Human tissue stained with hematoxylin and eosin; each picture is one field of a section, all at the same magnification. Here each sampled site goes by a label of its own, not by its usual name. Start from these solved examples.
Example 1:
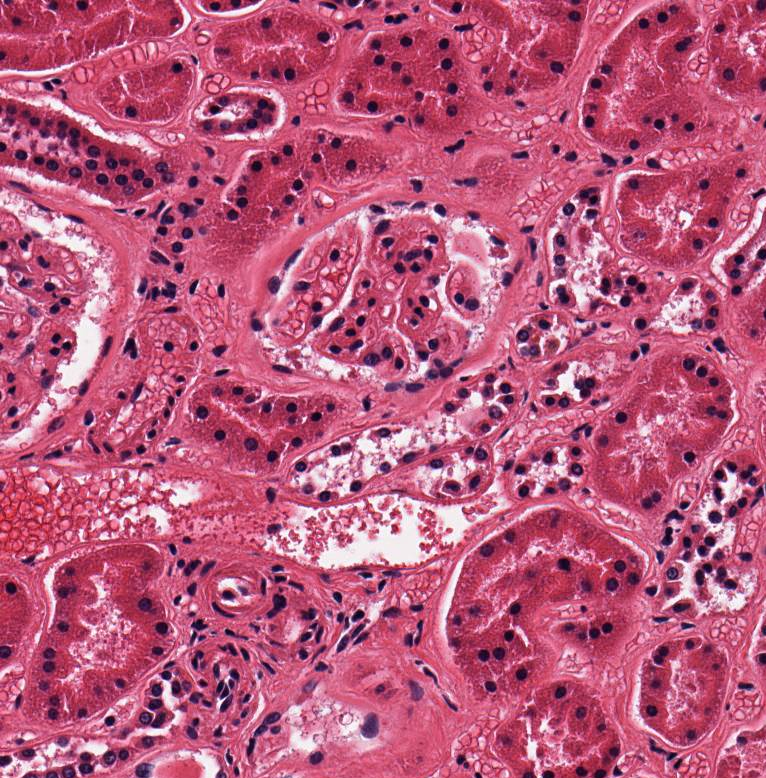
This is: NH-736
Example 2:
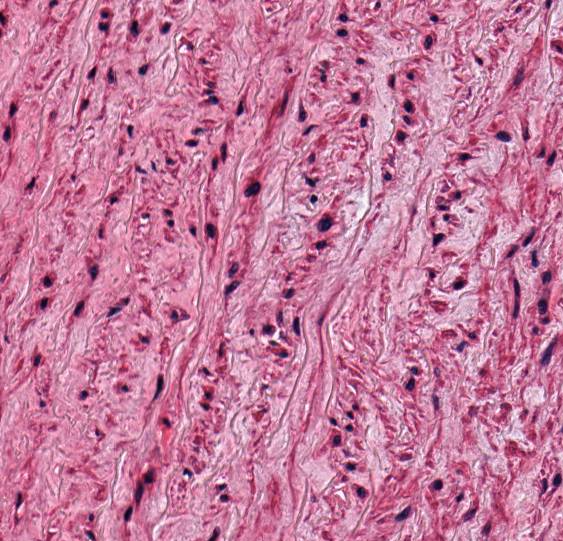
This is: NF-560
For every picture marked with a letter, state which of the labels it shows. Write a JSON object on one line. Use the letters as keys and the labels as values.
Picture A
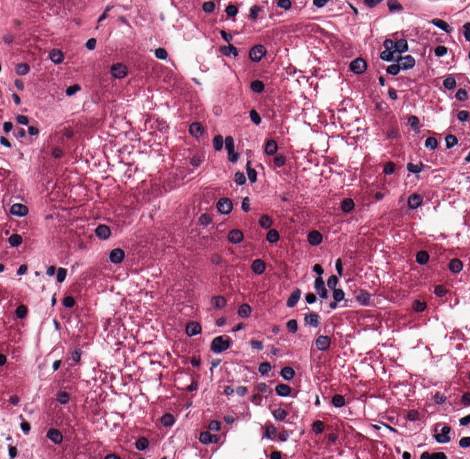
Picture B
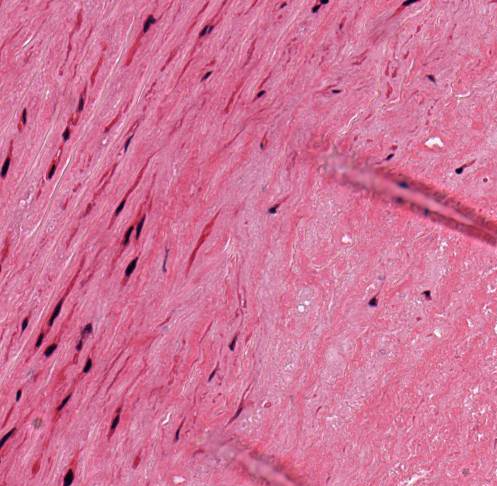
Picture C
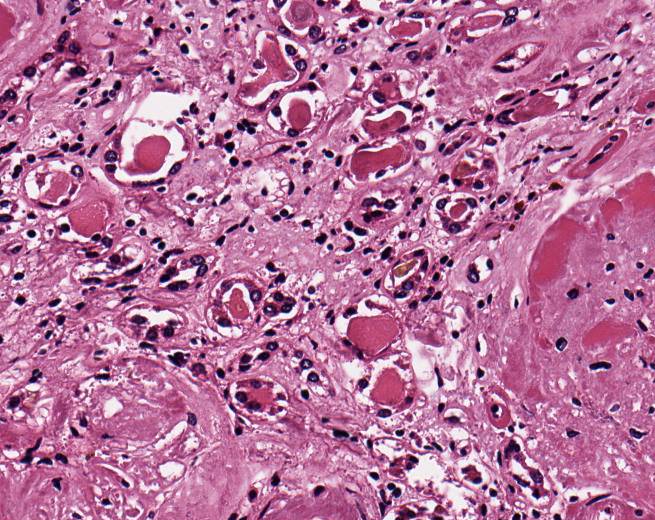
{"A": "NH-736", "B": "NF-560", "C": "NH-736"}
